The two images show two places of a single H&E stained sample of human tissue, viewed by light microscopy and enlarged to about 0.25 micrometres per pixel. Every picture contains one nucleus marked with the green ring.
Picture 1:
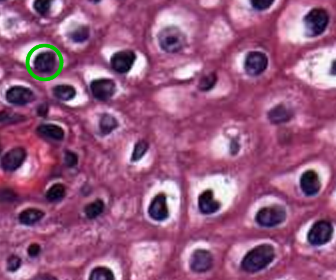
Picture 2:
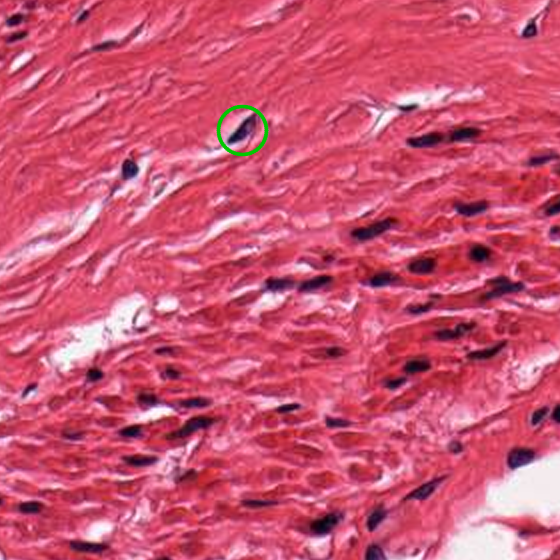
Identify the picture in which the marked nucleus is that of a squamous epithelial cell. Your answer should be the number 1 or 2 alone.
1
